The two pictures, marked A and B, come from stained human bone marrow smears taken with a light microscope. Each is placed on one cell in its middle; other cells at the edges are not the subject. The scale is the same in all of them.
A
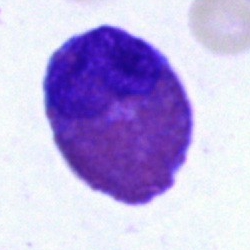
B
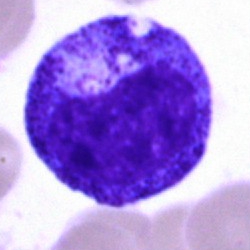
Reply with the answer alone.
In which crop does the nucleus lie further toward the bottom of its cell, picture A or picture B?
B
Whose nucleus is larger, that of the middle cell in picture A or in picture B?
B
